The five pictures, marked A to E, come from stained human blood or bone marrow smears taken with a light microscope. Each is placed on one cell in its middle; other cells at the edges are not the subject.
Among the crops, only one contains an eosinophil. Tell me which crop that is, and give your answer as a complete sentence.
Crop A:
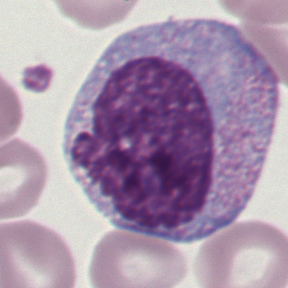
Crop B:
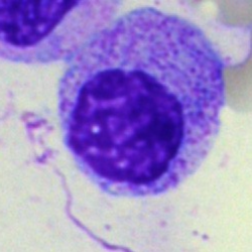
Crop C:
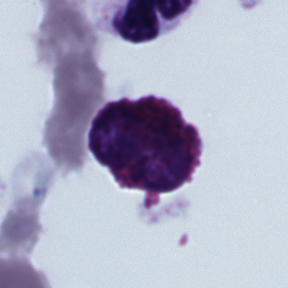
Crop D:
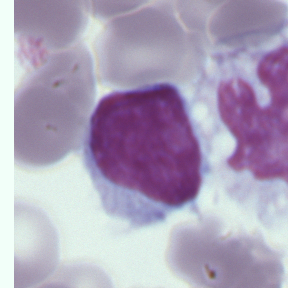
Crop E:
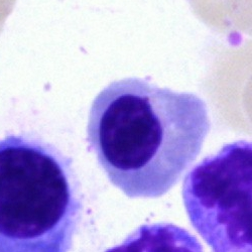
The crop that shows an eosinophil is crop C.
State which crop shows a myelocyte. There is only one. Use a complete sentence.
The one showing a myelocyte is crop B.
